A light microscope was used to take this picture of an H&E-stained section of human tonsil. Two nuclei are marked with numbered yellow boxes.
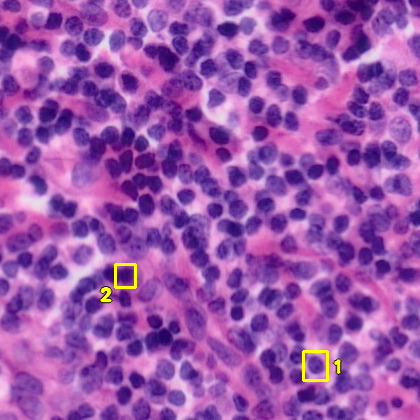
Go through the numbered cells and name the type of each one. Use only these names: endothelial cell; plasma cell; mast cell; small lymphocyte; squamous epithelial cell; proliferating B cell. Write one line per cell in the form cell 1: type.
cell 1: small lymphocyte
cell 2: endothelial cell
